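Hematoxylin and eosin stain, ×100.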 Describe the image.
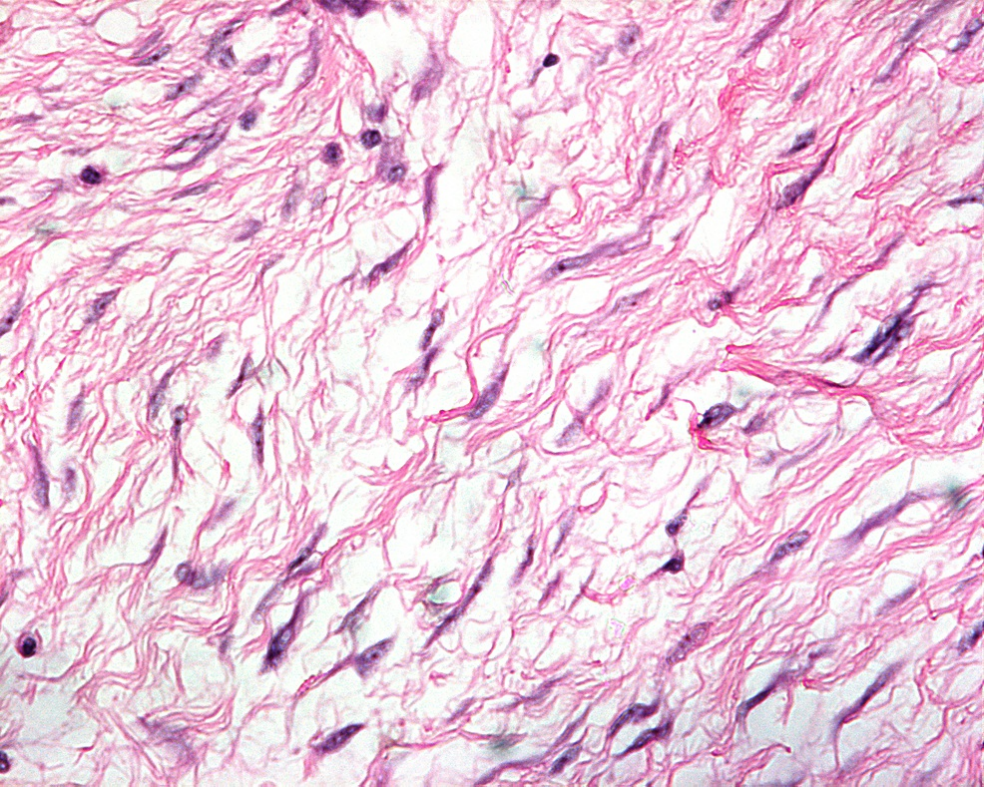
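Many nuclei are dark purple, slender and elongated, and several are curved or wavy, with tapering ends and little visible cytoplasm. The cells are scattered singly rather than packed together and run mostly in one diagonal direction along the fibres. A few small round dark nuclei are also scattered through the field.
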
